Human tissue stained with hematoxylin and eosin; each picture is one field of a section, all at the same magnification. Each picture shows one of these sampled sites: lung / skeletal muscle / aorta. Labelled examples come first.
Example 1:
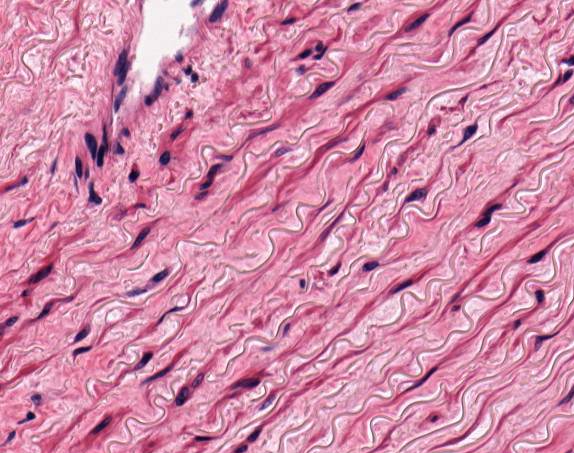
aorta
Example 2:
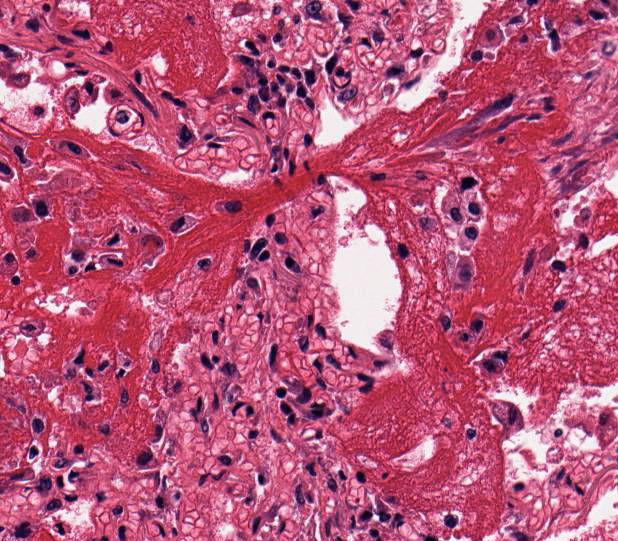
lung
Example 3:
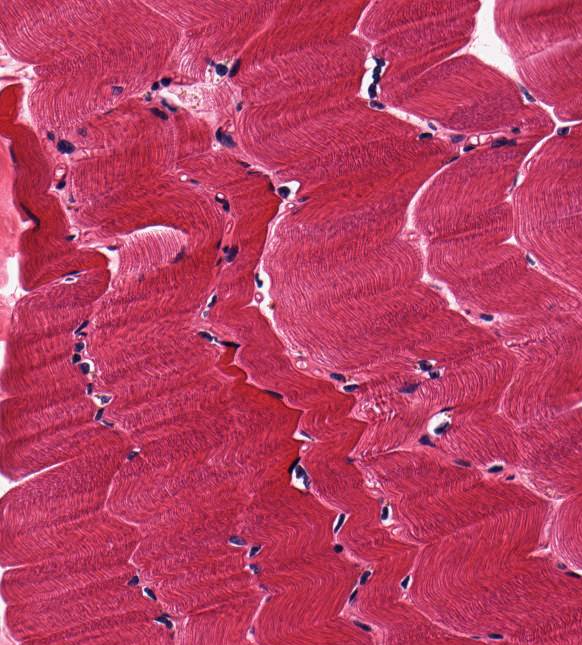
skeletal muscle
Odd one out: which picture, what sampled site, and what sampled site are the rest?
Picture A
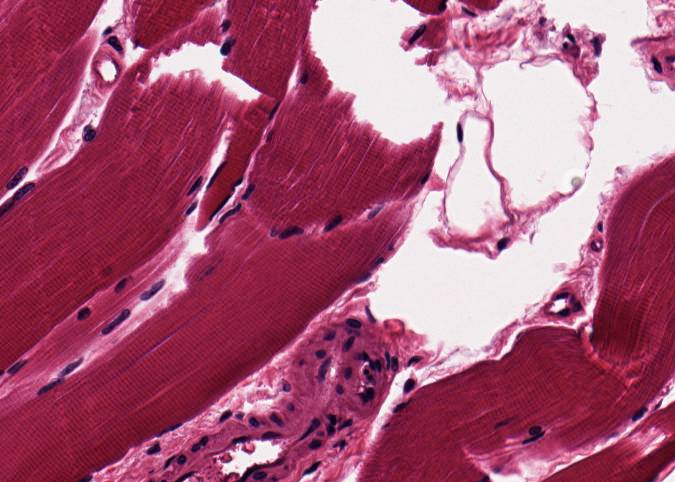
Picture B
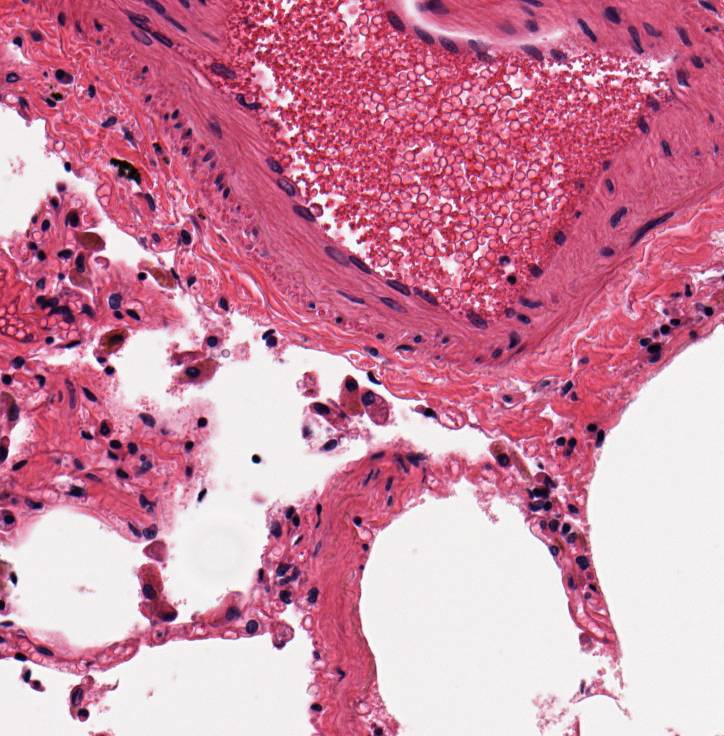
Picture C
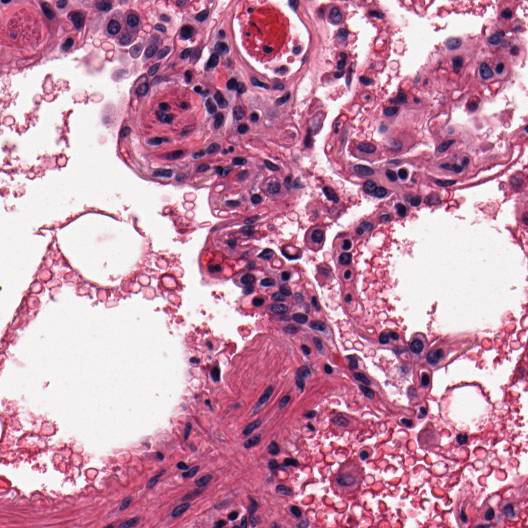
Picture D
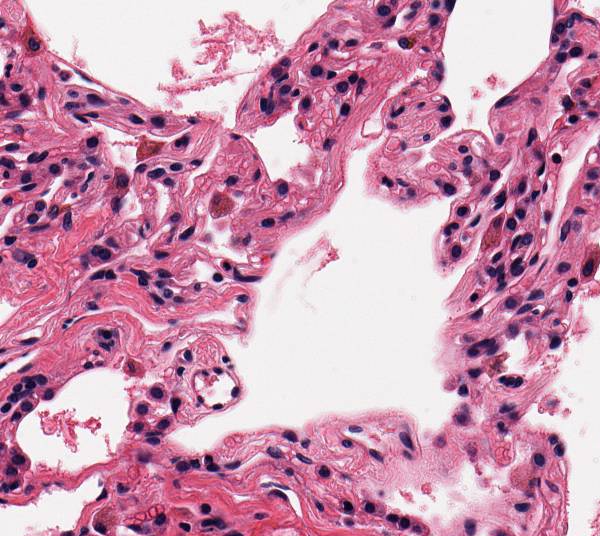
A (skeletal muscle) is the exception; every other picture is lung.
